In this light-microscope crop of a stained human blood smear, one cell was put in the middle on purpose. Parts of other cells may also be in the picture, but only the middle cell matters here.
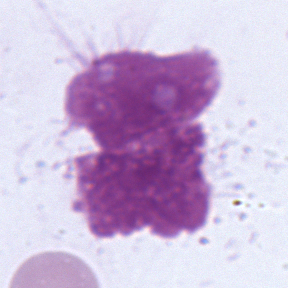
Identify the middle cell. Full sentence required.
What the crop centres on is a smudge cell.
